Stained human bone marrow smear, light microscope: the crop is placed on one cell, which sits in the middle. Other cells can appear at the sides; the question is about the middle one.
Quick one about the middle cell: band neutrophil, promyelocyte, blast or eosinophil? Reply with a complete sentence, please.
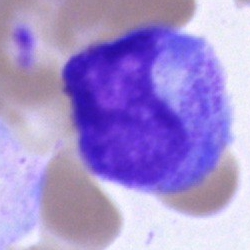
As for the central cell, it is a promyelocyte.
